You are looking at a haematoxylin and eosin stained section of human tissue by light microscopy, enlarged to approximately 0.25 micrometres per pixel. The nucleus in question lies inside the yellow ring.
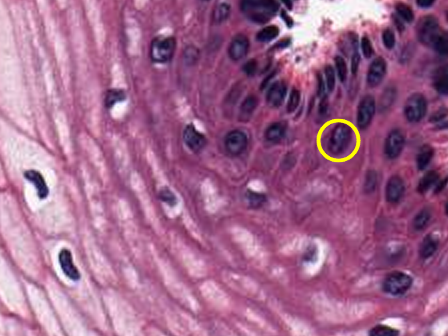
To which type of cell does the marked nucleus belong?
squamous epithelial cell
